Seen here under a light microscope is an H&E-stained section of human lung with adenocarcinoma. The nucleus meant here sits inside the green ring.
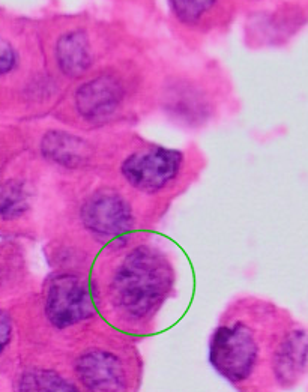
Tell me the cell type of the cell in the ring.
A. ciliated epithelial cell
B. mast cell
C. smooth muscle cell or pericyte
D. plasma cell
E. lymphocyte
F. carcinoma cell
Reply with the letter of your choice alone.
F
